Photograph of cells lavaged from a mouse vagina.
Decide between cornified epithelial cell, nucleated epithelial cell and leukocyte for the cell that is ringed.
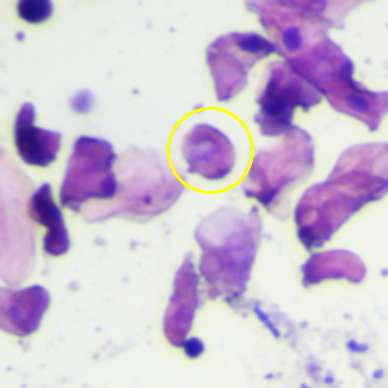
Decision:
I take the ringed cell for a nucleated epithelial cell.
